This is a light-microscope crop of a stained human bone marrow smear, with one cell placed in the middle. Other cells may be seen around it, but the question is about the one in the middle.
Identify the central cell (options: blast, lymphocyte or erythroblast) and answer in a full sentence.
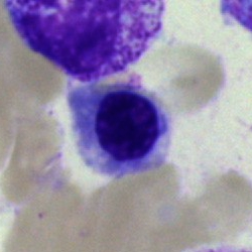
On this slide crop, the central cell is an erythroblast.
